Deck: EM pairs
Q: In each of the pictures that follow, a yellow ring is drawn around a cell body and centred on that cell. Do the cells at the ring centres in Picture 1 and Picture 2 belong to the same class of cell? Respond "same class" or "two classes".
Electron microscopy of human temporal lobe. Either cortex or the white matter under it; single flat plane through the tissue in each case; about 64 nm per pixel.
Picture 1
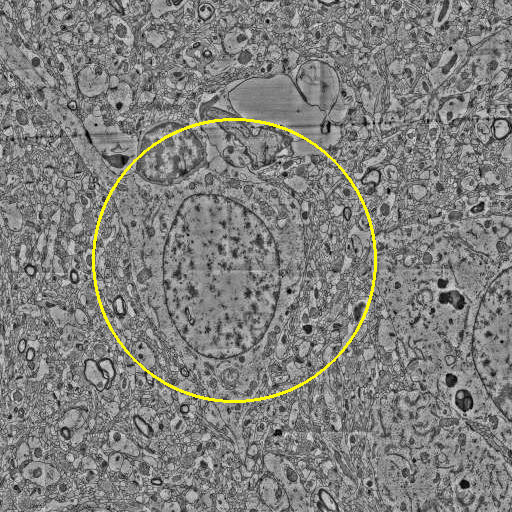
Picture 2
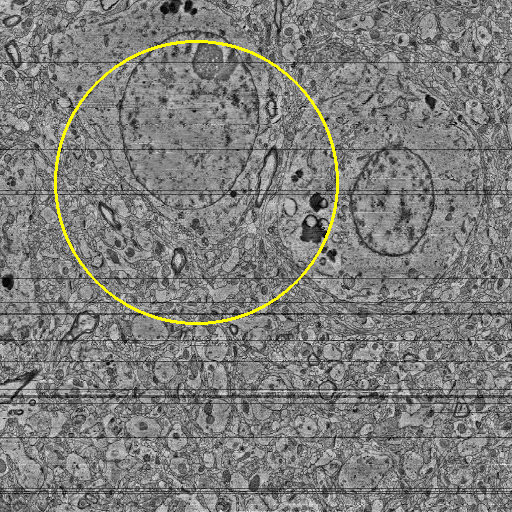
same class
